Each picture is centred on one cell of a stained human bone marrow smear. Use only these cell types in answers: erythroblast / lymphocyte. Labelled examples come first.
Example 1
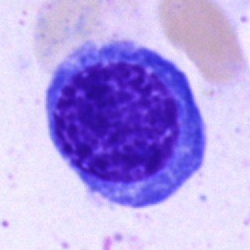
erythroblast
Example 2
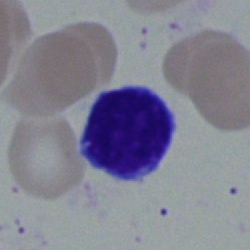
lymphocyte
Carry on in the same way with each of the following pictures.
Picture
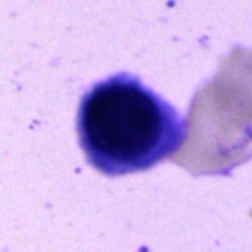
erythroblast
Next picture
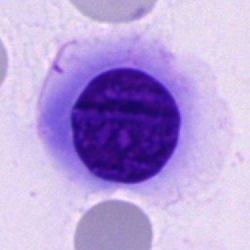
erythroblast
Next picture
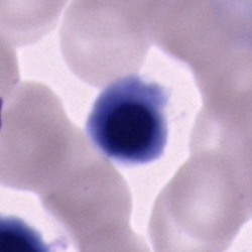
erythroblast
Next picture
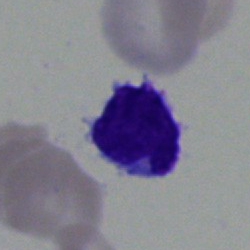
lymphocyte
